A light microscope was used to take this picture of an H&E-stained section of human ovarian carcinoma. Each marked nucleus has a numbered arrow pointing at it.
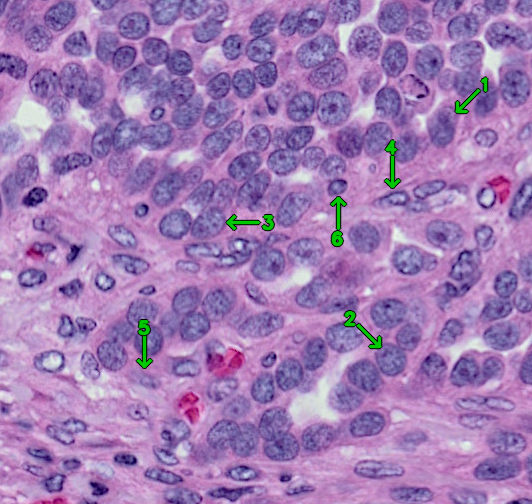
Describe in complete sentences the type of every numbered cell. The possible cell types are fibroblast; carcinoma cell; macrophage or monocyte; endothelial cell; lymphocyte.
Cells 1, 2 and 3 are carcinoma cells. Cells 4 and 5 are fibroblasts. Cell 6 is a macrophage or monocyte.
